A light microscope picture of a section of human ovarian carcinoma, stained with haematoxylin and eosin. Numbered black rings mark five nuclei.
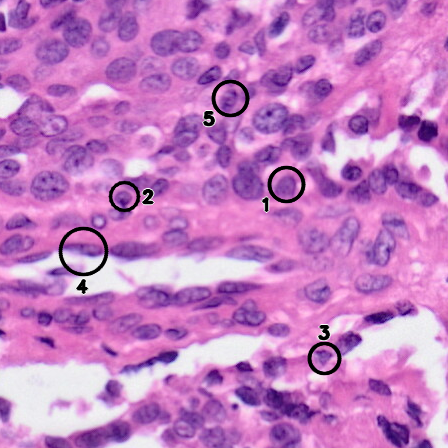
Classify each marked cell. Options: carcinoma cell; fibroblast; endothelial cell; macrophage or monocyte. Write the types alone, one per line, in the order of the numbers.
carcinoma cell
macrophage or monocyte
macrophage or monocyte
endothelial cell
macrophage or monocyte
